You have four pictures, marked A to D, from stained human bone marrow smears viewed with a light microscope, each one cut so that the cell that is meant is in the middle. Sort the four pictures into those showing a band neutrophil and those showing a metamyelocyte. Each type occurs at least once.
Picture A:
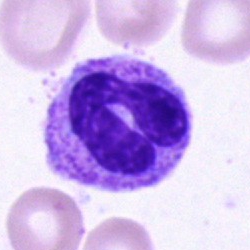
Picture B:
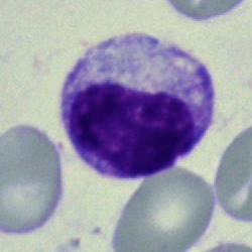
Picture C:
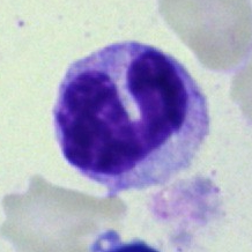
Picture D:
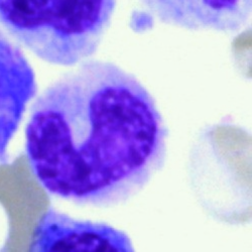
A: band neutrophil
B: metamyelocyte
C: band neutrophil
D: band neutrophil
